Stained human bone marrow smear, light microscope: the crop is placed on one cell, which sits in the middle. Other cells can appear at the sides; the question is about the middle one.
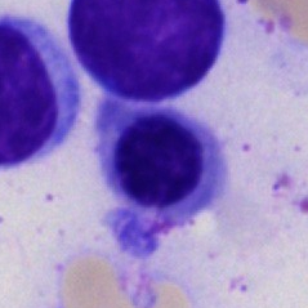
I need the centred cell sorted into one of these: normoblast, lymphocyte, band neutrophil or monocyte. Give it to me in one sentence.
The cell at the central position in this crop is a normoblast.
